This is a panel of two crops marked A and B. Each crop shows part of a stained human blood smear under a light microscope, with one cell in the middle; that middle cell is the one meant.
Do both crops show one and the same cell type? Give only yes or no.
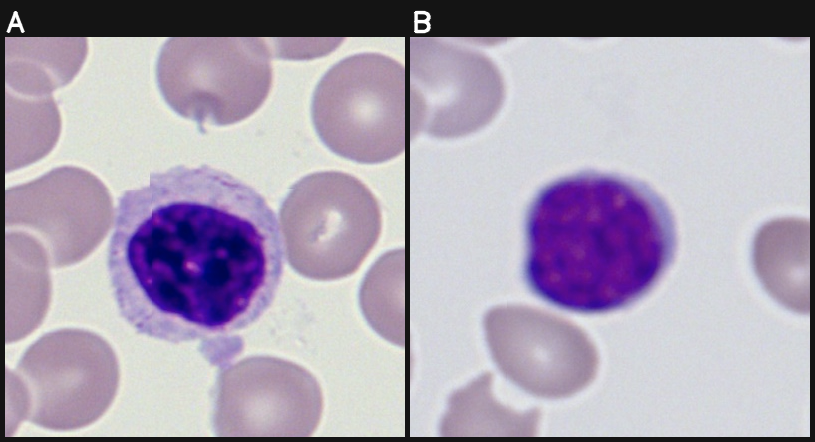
yes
